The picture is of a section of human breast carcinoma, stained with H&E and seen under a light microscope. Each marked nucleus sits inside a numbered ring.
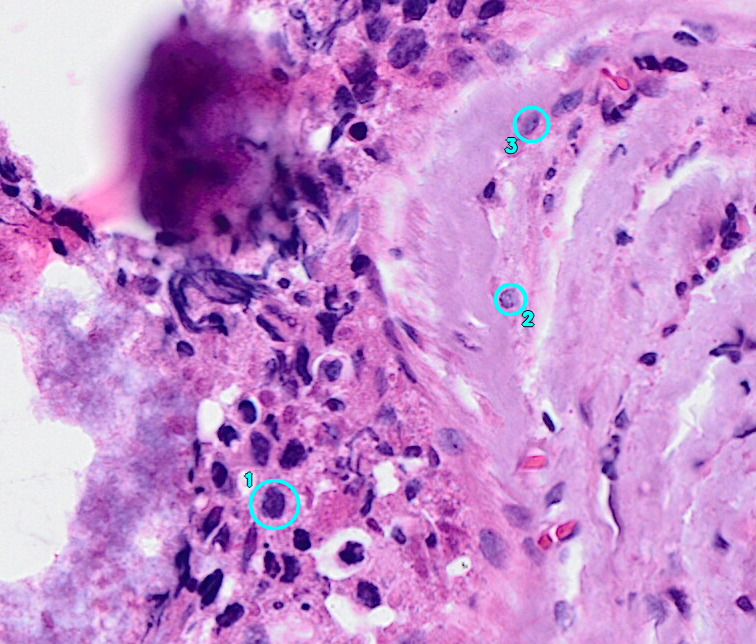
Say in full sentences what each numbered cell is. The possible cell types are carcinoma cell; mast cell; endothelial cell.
Cell 1 is a carcinoma cell, cell 2 is a mast cell and cell 3 is an endothelial cell.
